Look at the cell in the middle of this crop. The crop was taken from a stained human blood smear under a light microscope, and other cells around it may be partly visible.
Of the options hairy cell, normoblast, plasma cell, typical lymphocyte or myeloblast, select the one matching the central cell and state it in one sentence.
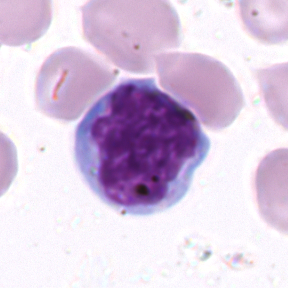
What sits at the centre of this crop is a plasma cell.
